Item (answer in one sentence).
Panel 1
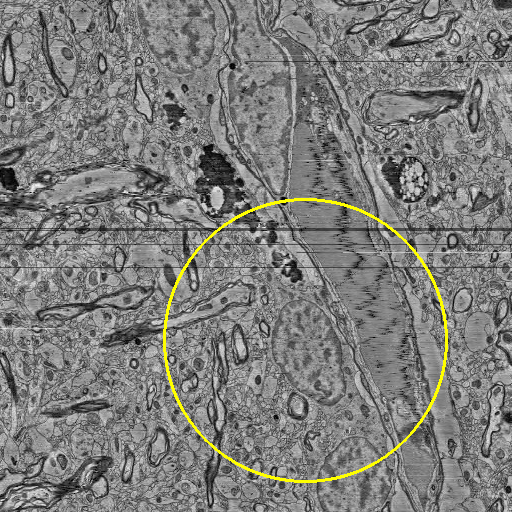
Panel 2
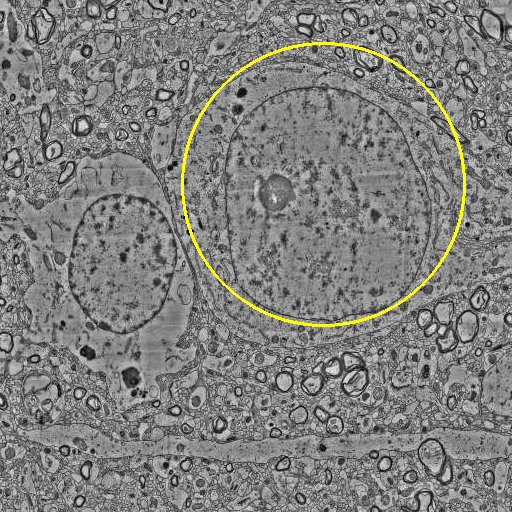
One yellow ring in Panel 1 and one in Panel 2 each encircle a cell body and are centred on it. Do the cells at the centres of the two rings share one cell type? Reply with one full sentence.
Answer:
No, Panel 1 and Panel 2 show cells of two types at the centres of their rings.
